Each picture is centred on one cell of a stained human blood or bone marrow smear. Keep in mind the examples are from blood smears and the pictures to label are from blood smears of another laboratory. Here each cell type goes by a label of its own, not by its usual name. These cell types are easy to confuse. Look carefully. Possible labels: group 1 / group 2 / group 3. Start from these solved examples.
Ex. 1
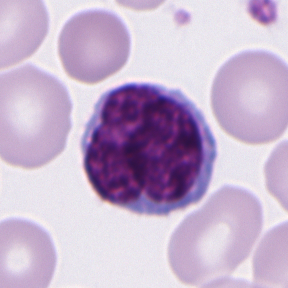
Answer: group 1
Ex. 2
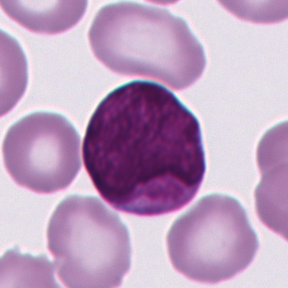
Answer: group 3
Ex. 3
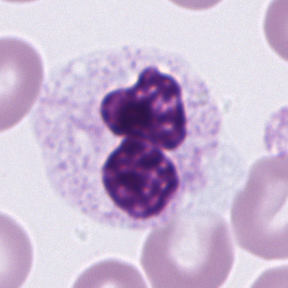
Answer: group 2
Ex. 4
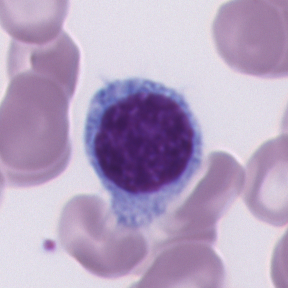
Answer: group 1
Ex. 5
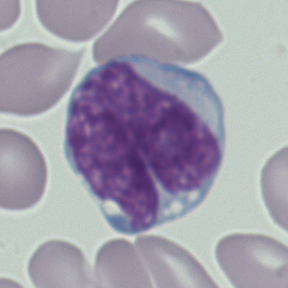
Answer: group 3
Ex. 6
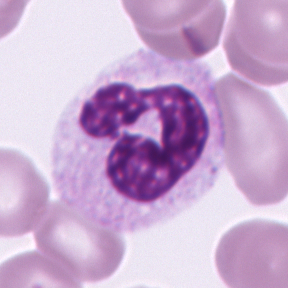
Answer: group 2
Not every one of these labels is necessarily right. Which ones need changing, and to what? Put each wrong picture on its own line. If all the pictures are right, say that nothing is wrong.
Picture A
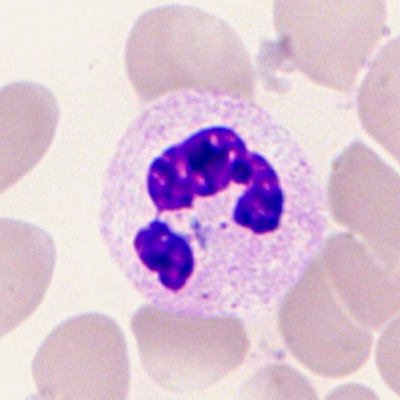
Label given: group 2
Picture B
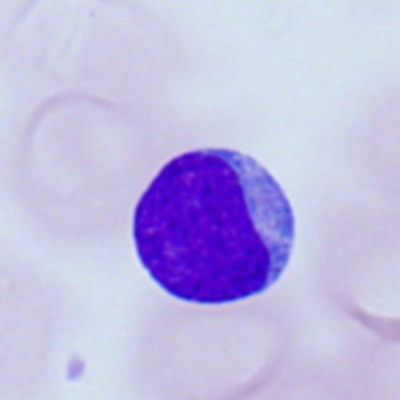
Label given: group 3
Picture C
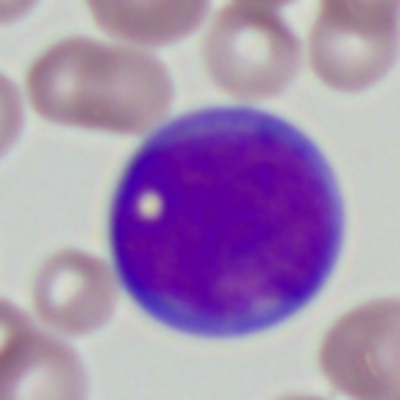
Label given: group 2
C: change group 2 to group 3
